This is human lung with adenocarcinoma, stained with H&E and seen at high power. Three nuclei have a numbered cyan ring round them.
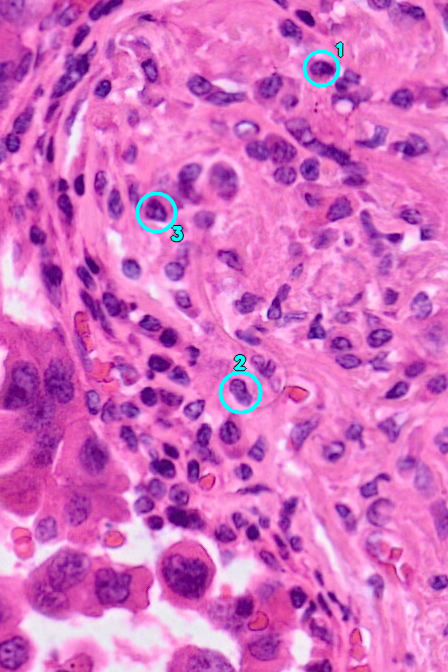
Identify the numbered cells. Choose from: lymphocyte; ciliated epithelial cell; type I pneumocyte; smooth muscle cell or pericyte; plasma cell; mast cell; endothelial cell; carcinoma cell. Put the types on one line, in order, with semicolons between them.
plasma cell; lymphocyte; plasma cell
